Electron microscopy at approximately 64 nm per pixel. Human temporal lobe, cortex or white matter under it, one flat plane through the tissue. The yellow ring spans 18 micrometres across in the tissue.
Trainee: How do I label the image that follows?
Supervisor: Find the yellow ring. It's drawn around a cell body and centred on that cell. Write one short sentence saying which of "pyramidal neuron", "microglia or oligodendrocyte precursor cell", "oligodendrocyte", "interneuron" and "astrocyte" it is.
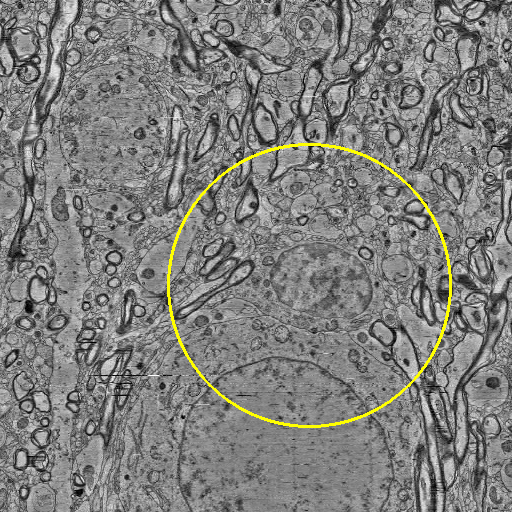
This is the cell body of an oligodendrocyte.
